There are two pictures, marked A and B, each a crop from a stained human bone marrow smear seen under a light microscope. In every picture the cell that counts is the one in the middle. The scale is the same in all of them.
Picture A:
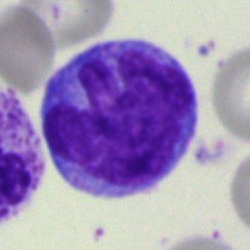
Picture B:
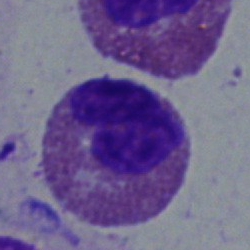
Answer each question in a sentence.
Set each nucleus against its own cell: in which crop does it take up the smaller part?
It is the cell in picture B that is filled less by its nucleus.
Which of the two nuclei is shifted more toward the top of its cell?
The nucleus in picture B lies further toward the top of its cell.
